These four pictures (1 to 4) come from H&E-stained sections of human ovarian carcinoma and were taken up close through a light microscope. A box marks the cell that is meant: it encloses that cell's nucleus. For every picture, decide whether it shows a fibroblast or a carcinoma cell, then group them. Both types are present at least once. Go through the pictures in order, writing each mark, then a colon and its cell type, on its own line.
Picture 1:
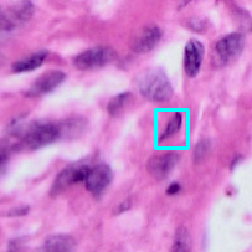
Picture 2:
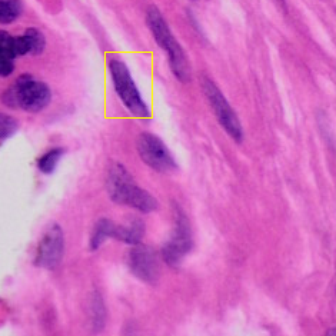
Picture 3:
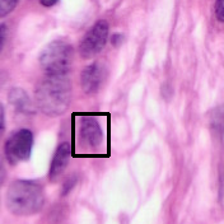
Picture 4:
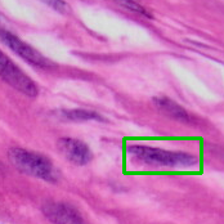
1: fibroblast
2: fibroblast
3: carcinoma cell
4: fibroblast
